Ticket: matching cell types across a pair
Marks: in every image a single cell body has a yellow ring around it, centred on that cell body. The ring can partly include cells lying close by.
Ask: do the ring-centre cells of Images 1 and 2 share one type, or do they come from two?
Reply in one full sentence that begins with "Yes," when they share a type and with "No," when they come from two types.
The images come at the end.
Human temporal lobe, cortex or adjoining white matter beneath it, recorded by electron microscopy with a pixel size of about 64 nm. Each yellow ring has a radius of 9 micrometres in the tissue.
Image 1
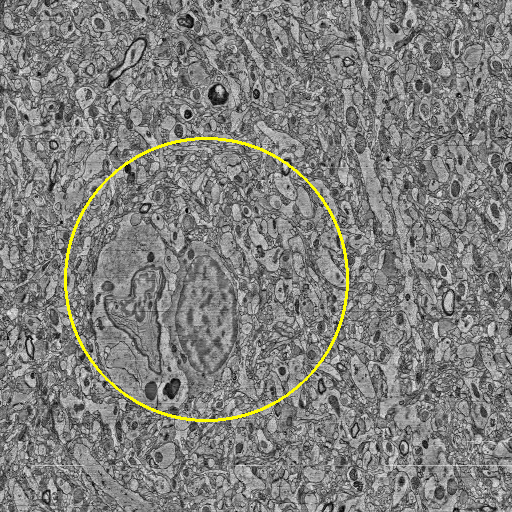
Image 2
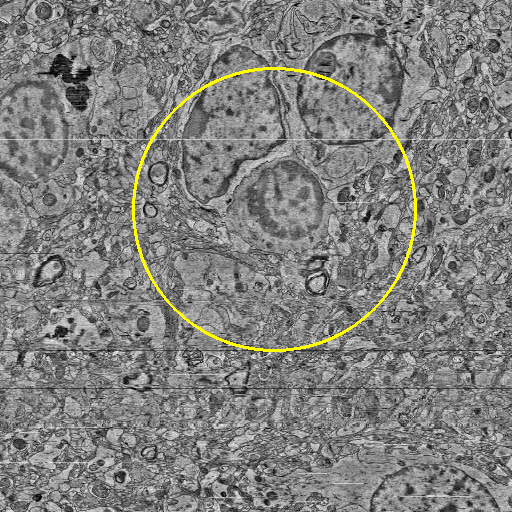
Yes, the cells in the centres of the rings in Image 1 and Image 2 share one type.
